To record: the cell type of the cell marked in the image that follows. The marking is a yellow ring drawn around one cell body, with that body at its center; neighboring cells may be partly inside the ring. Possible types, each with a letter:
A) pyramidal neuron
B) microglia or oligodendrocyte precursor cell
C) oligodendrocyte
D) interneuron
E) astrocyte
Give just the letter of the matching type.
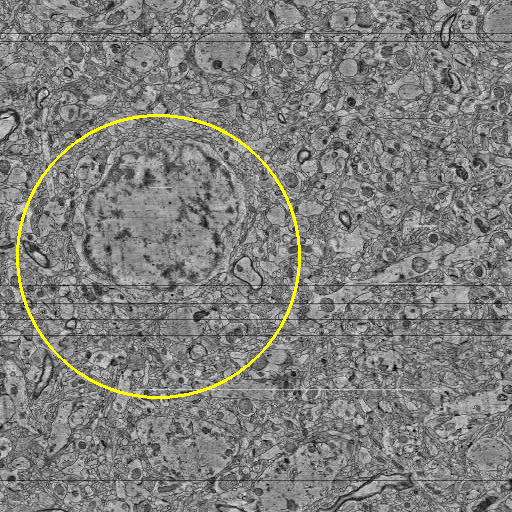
D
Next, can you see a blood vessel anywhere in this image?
No, no blood vessel can be seen.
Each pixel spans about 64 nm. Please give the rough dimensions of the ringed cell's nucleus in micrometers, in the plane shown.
Approximately 10 micrometres across, in this plane.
